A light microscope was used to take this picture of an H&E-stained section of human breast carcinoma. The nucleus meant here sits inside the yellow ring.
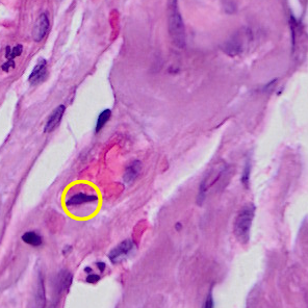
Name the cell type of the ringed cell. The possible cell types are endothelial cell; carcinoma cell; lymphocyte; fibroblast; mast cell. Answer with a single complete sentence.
This is an endothelial cell.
